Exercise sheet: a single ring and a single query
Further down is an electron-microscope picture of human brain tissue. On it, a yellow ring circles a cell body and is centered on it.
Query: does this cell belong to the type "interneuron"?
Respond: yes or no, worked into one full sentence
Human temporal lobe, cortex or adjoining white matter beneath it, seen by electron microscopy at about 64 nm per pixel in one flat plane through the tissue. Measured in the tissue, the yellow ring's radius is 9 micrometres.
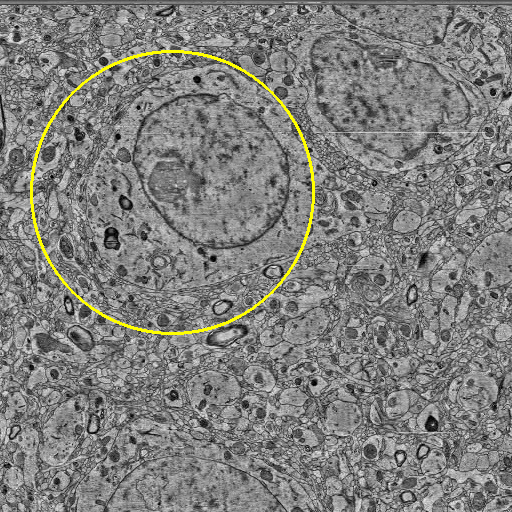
No, this ringed cell, found at the center of the ring in the picture, is of a different type.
